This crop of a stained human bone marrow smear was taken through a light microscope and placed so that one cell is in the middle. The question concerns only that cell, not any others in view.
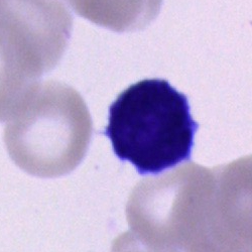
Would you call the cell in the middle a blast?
no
